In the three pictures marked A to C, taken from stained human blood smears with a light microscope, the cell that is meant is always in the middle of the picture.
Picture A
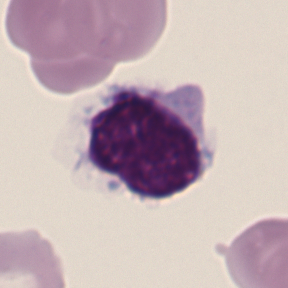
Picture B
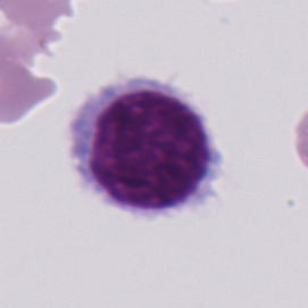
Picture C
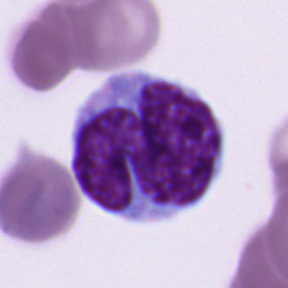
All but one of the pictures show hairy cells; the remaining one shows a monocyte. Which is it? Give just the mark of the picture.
C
